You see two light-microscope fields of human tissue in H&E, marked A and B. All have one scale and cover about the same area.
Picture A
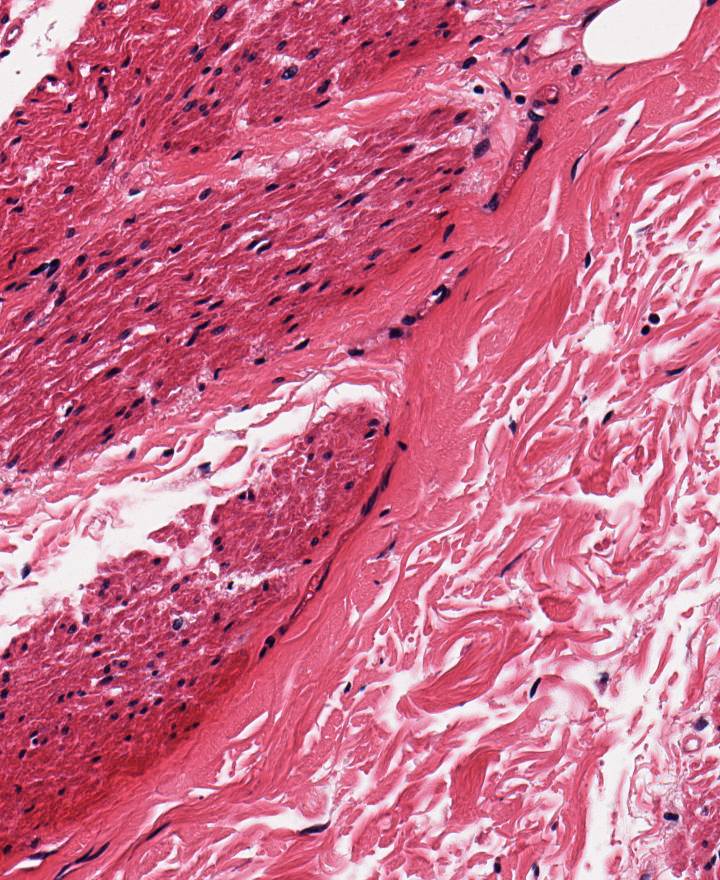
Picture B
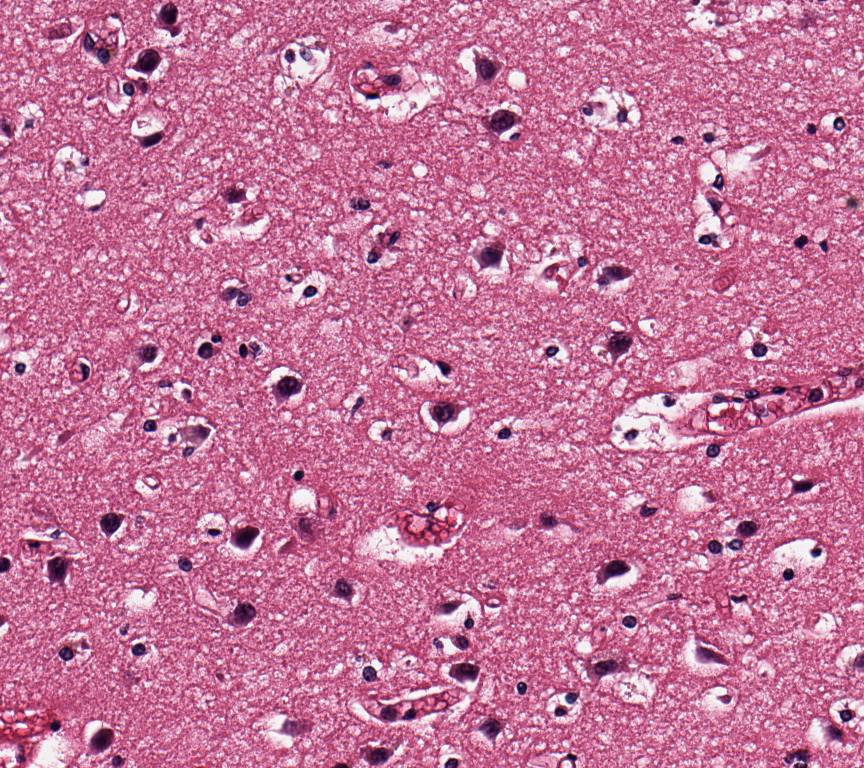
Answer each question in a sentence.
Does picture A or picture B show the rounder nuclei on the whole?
On the whole the nuclei of picture B are rounder than those of picture A.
